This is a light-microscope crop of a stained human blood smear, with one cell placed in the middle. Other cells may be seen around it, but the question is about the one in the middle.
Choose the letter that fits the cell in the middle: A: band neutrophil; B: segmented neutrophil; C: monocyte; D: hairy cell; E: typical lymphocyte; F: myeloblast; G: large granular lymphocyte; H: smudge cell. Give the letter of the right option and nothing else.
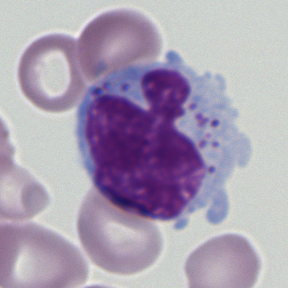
G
